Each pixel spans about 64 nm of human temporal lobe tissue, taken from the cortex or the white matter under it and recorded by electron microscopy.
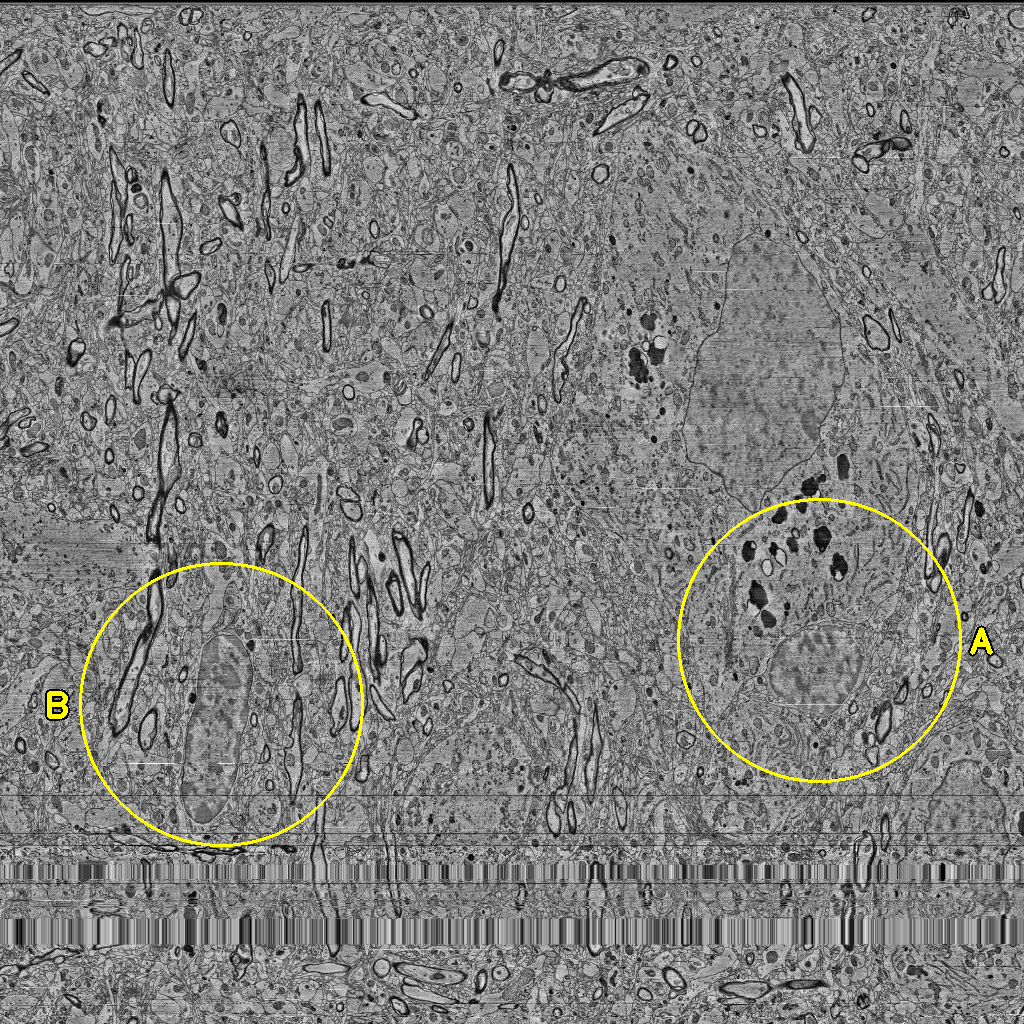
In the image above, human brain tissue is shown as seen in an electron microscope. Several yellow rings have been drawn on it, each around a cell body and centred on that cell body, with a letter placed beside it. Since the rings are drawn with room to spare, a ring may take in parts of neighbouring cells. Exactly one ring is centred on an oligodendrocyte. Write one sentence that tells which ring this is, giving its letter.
The ring marked A is centred on it.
